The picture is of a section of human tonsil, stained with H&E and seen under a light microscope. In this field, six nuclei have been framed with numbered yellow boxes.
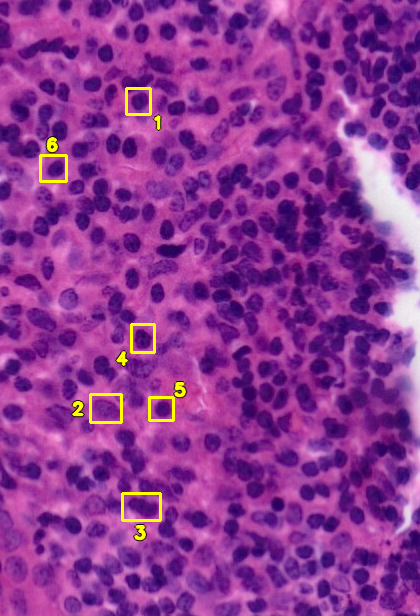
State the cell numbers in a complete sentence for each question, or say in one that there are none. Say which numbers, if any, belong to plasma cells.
Regarding the numbered cells 1, 4, 5 and 6, these are plasma cells.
